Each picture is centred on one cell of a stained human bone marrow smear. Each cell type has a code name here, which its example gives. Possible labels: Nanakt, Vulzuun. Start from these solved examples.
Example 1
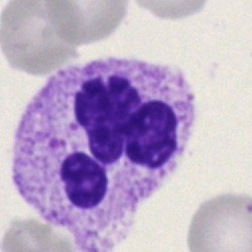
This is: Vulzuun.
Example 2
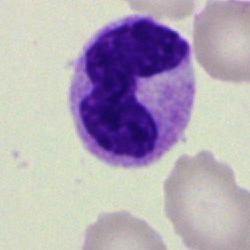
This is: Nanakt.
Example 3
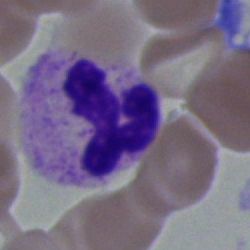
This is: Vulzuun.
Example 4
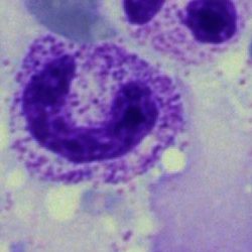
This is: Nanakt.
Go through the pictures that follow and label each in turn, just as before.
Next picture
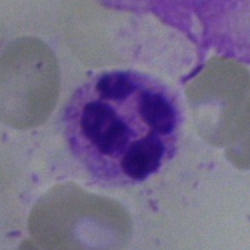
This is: Vulzuun.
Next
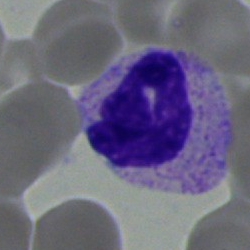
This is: Nanakt.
